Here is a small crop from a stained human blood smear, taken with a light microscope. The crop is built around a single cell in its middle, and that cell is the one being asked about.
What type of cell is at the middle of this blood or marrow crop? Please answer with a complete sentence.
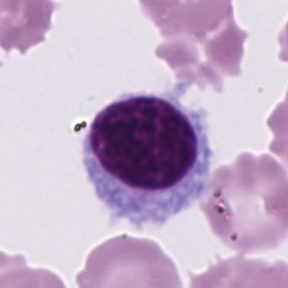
The middle of this crop is occupied by a hairy cell.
